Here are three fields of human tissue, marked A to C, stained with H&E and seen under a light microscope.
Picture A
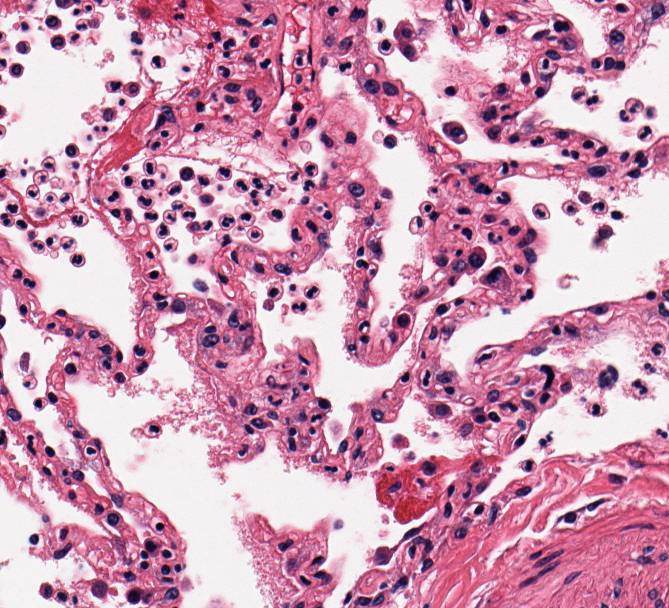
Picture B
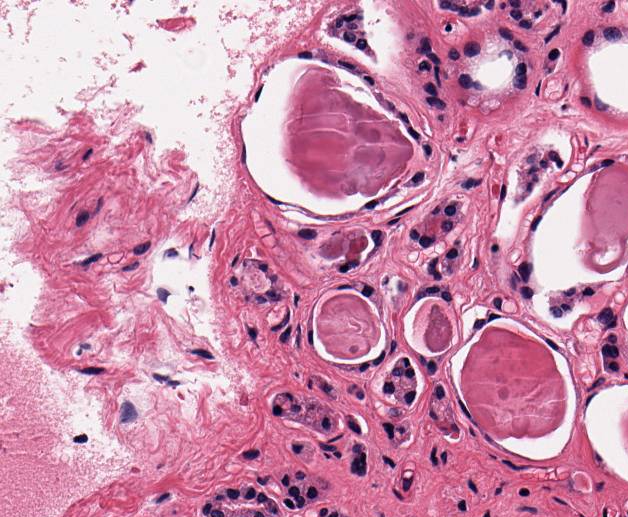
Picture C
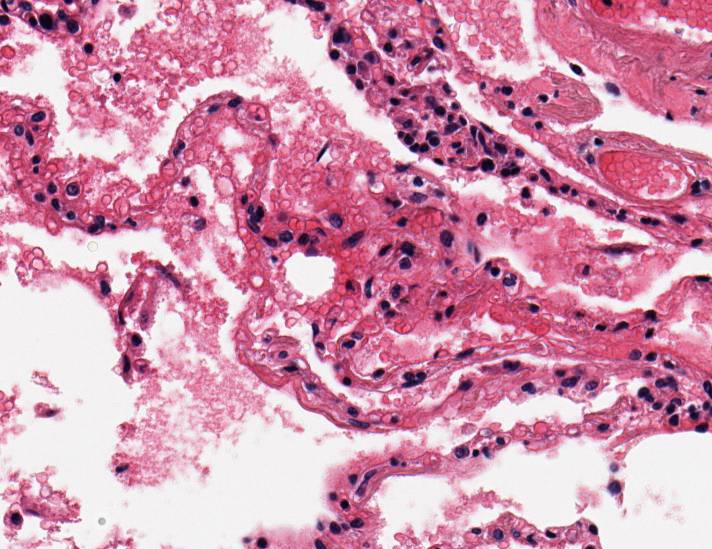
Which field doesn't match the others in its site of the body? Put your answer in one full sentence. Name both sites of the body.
All pictures except B come from the lung; picture B comes from the thyroid.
